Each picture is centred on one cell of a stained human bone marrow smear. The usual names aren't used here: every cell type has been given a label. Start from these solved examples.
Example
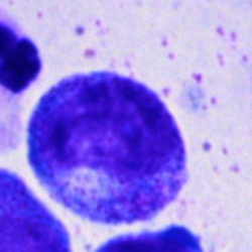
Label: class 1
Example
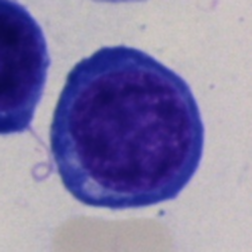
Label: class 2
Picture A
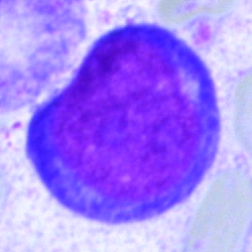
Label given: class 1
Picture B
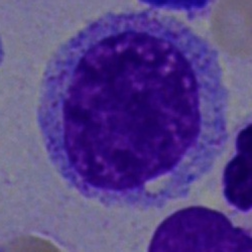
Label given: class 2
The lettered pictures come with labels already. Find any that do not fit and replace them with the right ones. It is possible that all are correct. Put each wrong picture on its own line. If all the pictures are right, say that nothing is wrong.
A should be class 2, not class 1
B should be class 1, not class 2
